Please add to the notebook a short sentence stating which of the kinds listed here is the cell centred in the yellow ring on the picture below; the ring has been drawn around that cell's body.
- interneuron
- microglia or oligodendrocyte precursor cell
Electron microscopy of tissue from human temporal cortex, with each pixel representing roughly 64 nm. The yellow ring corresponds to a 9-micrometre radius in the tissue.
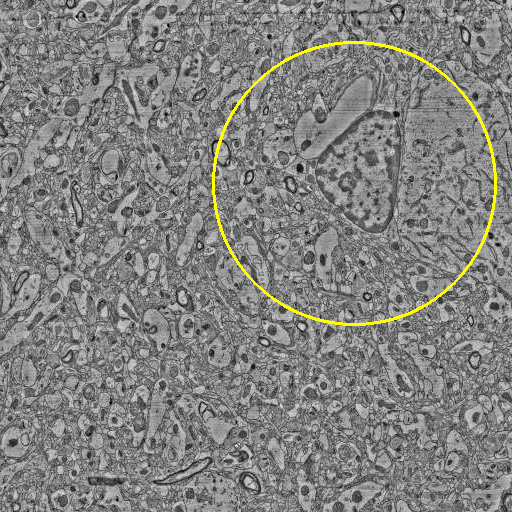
The cell centred in the yellow ring is a microglial cell or oligodendrocyte precursor cell.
